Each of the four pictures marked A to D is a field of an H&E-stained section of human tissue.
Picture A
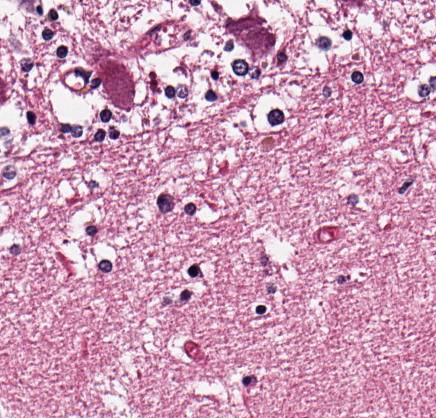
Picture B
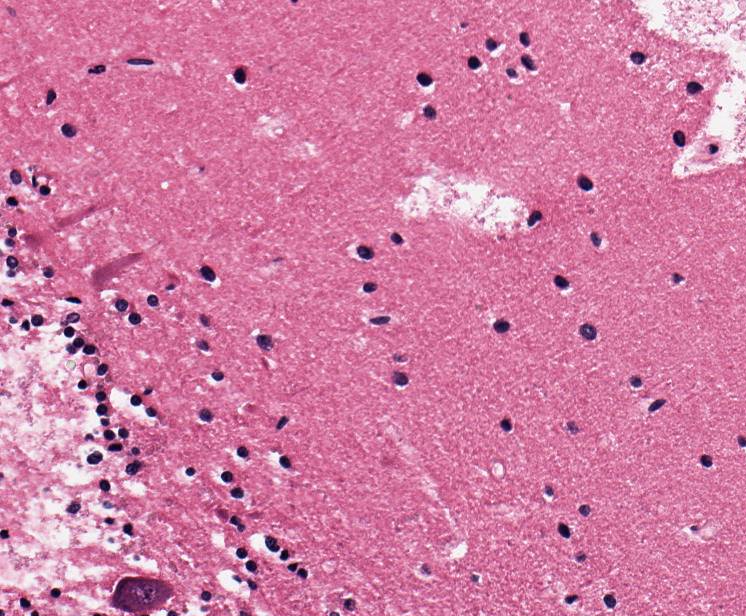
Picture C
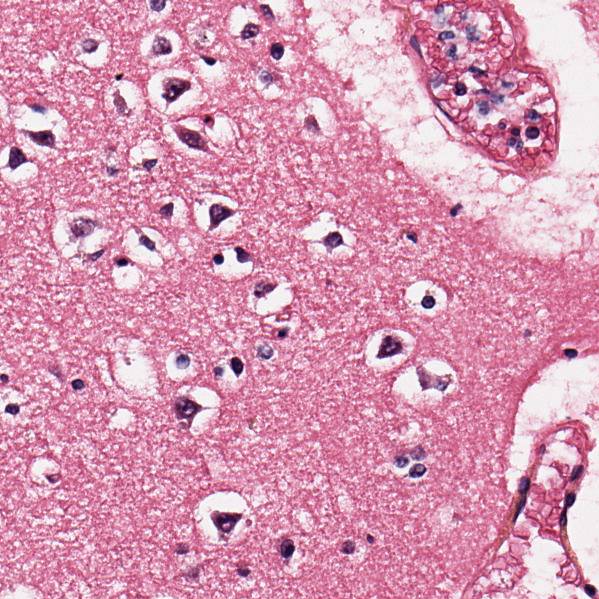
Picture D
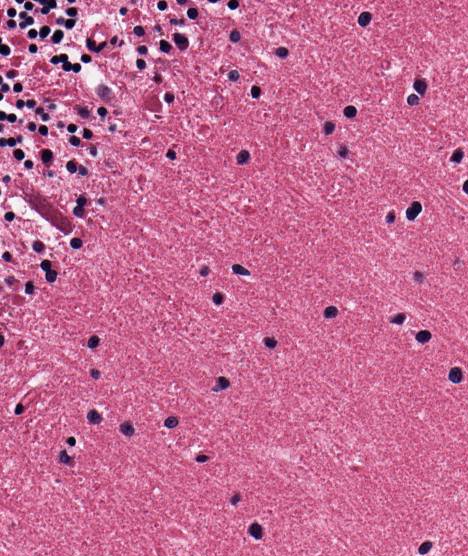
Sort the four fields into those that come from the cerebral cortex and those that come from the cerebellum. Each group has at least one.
A: cerebellum
B: cerebellum
C: cerebral cortex
D: cerebellum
